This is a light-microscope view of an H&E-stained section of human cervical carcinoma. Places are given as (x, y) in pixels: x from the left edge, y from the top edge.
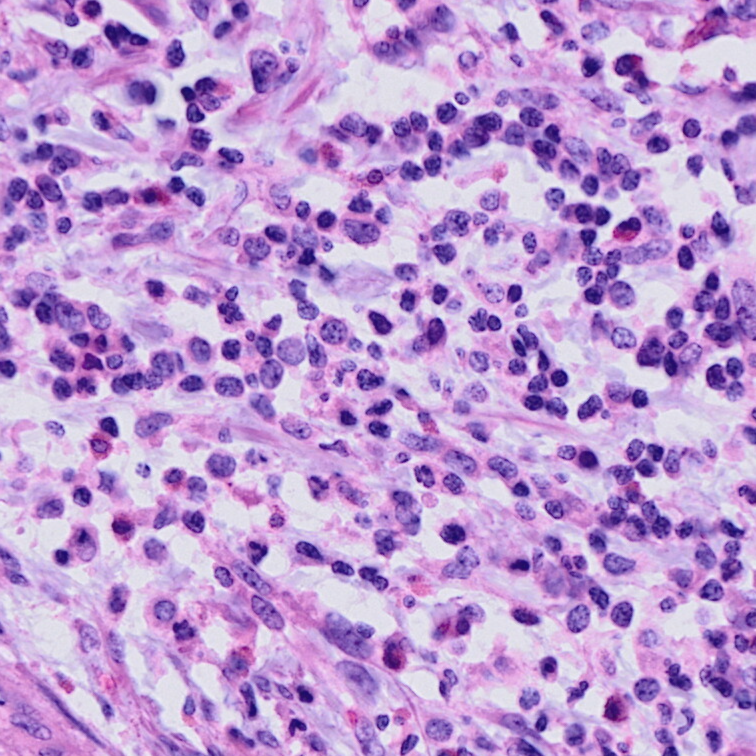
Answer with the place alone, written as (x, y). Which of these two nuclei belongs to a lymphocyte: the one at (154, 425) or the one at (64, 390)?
(64, 390)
